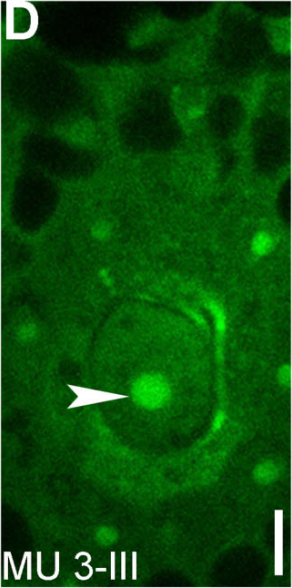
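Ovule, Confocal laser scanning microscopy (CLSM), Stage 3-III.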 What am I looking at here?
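Among tissue with many dark vacuoles and small green nuclei lies a single large rounded-oval cell with a pale green cytoplasm and a faint bright edge along one side. Inside it sits one round, bright green nucleus, noticeably larger than the nuclei of neighbouring cells. No second nucleus and no large central vacuole are seen in this cell, unlike a two-nucleate embryo sac.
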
